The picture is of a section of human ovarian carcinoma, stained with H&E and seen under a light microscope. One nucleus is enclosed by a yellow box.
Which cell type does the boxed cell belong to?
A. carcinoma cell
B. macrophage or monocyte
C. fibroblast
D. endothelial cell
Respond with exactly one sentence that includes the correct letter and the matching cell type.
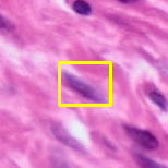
Option C names it right: the boxed cell is a fibroblast.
